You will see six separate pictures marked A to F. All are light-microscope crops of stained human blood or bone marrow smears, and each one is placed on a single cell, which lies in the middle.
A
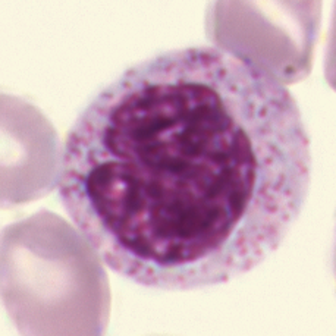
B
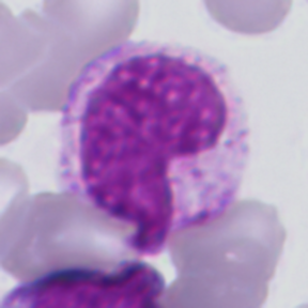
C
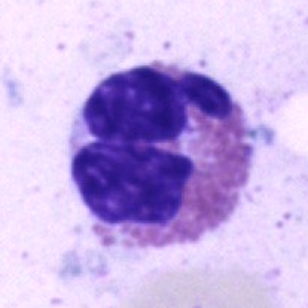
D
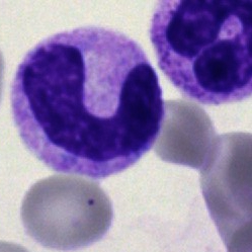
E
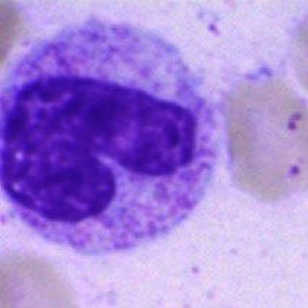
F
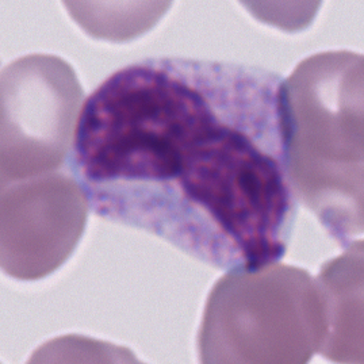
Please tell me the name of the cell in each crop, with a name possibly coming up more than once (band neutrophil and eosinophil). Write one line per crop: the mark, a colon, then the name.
A: band neutrophil
B: band neutrophil
C: eosinophil
D: band neutrophil
E: band neutrophil
F: band neutrophil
